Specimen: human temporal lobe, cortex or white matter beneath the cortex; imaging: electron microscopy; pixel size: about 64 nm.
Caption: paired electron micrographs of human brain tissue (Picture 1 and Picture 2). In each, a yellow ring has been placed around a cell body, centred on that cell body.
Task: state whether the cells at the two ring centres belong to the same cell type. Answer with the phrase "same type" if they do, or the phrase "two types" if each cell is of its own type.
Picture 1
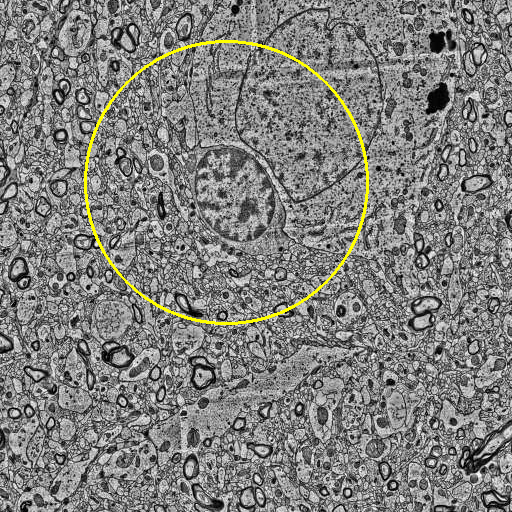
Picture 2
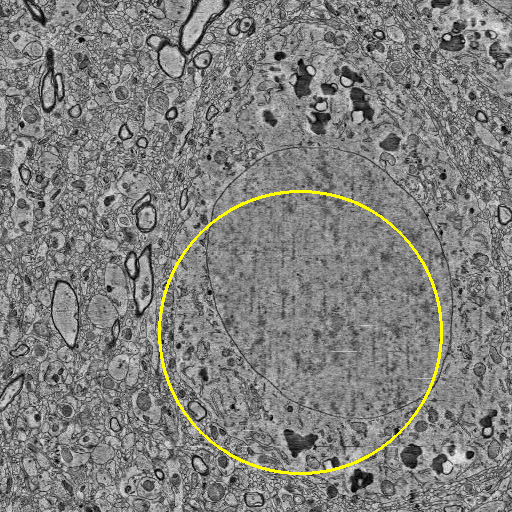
two types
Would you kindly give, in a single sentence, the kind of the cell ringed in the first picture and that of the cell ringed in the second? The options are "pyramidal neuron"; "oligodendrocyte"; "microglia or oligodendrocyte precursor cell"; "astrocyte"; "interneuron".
The second cell is a pyramidal neuron, and the first cell is an oligodendrocyte.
